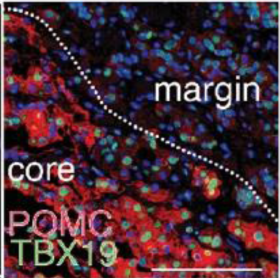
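Below and left of the line, many closely packed cells have cytoplasm filled with red stain, forming a dense sheet. Green-stained nuclei are scattered among the red cells and also in the tissue beyond the line. On the margin side, most cells show only blue nuclei and the red-filled cells are far fewer, giving a looser, more mixed appearance.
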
